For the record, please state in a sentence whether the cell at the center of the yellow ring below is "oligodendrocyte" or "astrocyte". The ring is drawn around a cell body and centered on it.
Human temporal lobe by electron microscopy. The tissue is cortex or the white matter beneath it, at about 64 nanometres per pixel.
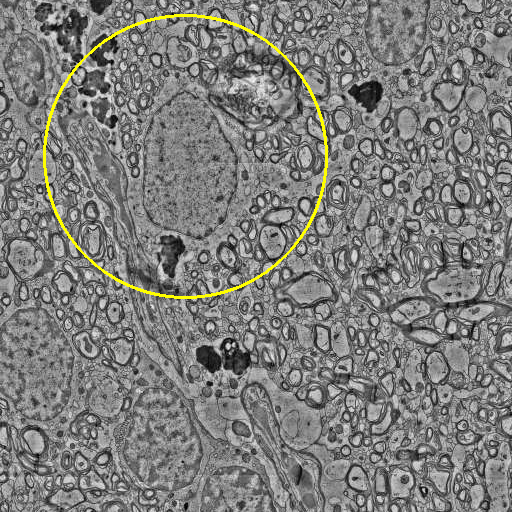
The cell at the ring's center is an astrocyte.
